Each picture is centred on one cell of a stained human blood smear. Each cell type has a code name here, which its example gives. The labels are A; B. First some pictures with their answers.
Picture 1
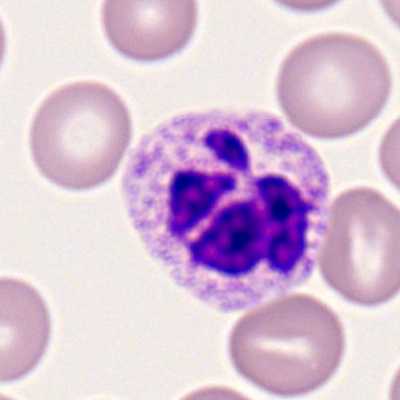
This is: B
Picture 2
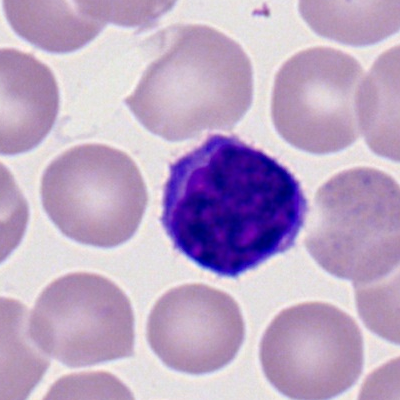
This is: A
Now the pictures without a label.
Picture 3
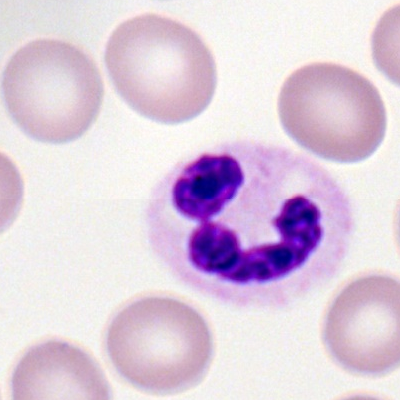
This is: B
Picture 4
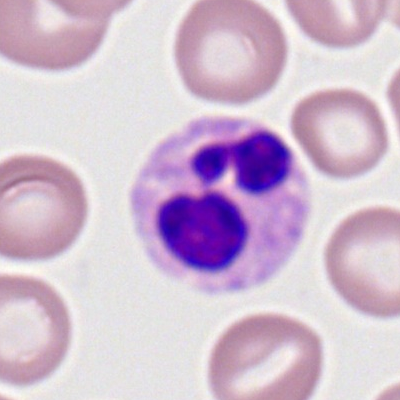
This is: B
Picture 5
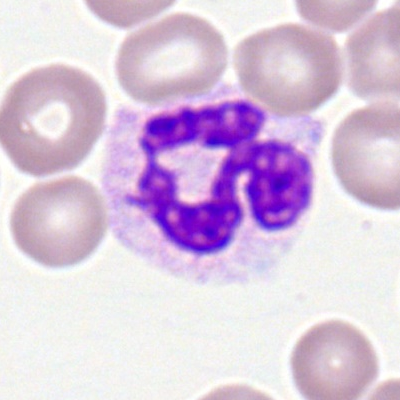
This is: B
